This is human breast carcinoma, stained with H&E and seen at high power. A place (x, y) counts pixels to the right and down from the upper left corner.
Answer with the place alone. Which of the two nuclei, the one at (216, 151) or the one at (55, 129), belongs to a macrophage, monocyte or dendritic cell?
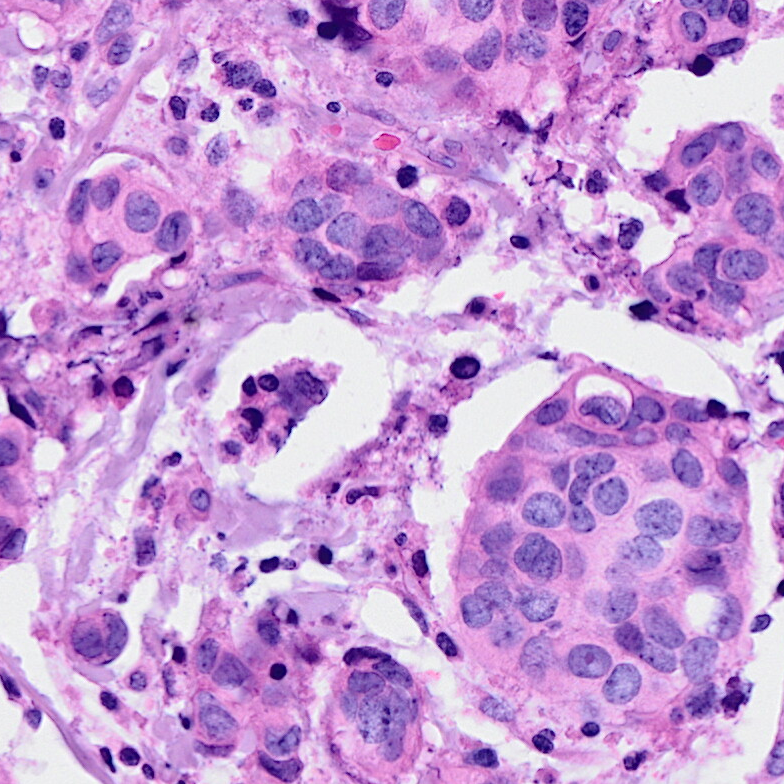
(216, 151)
